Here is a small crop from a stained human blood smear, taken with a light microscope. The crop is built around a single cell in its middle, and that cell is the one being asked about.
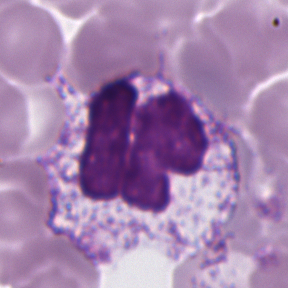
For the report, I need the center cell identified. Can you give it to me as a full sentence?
The centrally placed cell is classified as a segmented neutrophil.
